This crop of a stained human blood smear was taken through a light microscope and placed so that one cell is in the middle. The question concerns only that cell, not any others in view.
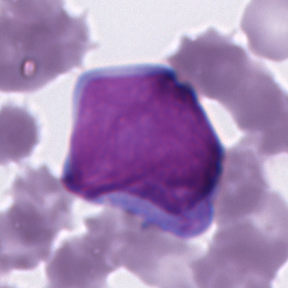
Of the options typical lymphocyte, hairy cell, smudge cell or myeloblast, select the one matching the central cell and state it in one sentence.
The cell found in the middle of this crop is a myeloblast.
